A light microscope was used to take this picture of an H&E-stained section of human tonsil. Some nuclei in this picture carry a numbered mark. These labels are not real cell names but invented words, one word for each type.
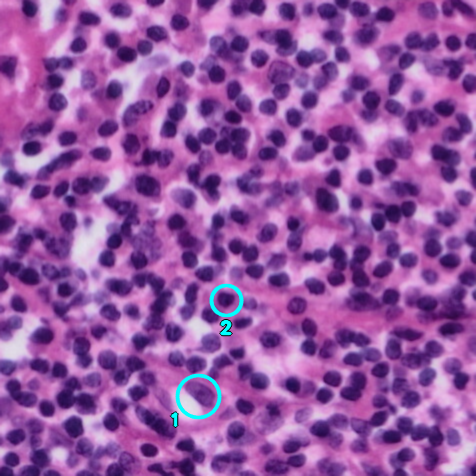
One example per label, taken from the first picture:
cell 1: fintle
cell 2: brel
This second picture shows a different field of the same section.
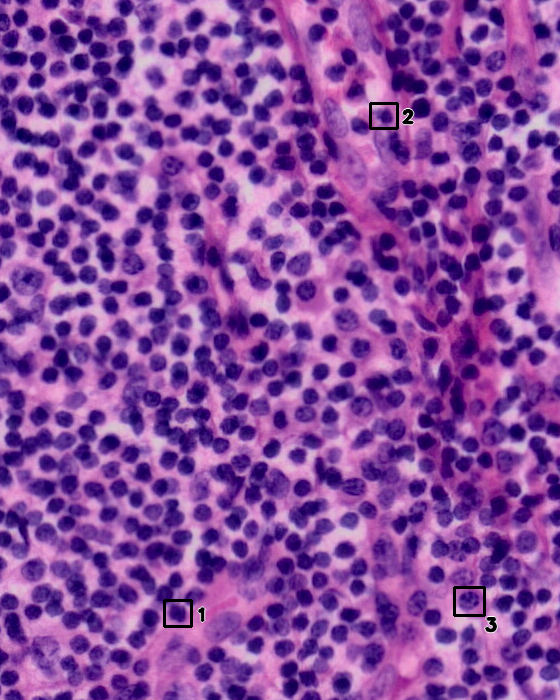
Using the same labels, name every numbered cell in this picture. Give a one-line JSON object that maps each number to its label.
{"1": "fintle", "2": "fintle", "3": "brel"}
